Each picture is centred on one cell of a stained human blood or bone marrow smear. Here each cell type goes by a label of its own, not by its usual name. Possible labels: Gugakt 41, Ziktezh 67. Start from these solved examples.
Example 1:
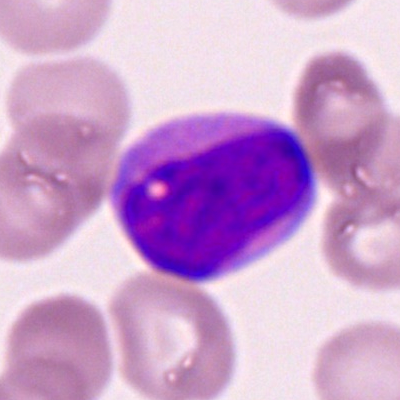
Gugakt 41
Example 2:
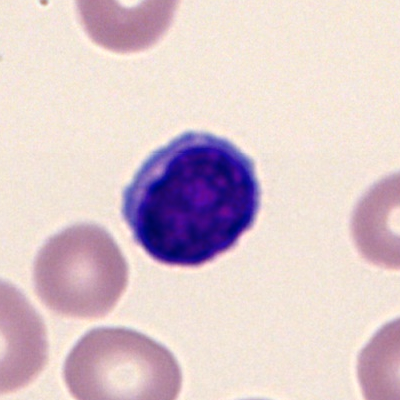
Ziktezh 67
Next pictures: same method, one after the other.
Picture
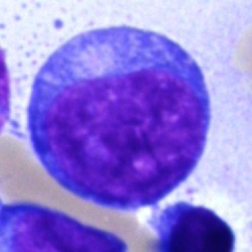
Gugakt 41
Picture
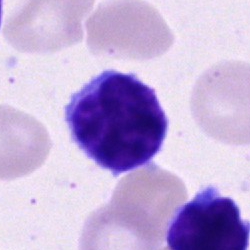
Ziktezh 67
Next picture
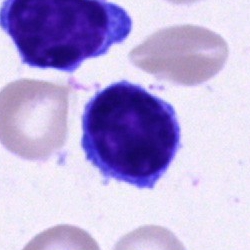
Ziktezh 67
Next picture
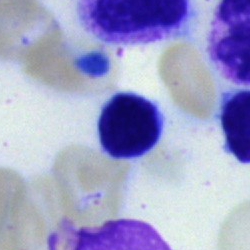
Ziktezh 67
